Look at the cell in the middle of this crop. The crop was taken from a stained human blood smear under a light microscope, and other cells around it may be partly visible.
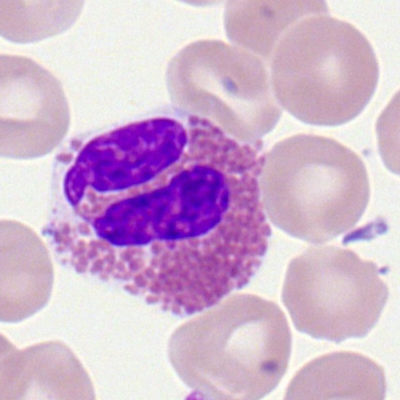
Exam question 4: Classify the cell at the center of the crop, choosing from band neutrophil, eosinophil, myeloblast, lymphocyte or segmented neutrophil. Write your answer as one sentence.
Positioned in the middle of the crop is an eosinophil.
